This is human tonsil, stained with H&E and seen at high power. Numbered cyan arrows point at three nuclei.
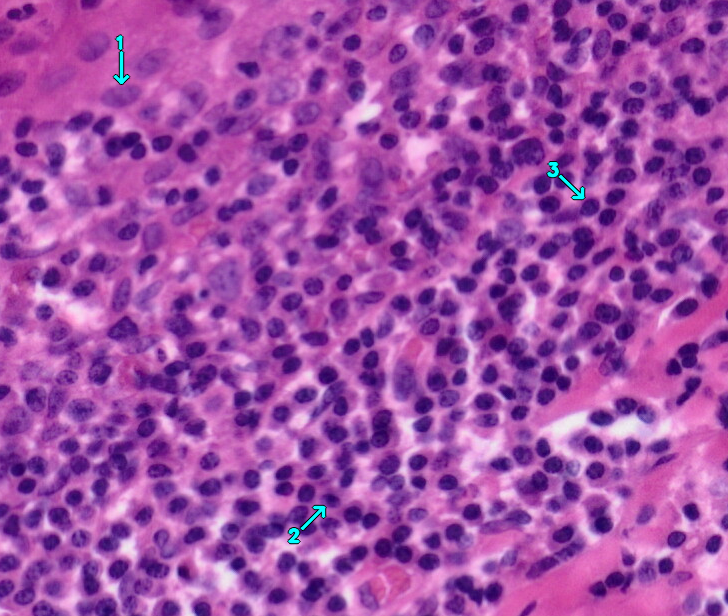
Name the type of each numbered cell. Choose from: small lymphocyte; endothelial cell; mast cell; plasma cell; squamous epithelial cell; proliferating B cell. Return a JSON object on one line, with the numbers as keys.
{"1": "squamous epithelial cell", "2": "plasma cell", "3": "plasma cell"}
